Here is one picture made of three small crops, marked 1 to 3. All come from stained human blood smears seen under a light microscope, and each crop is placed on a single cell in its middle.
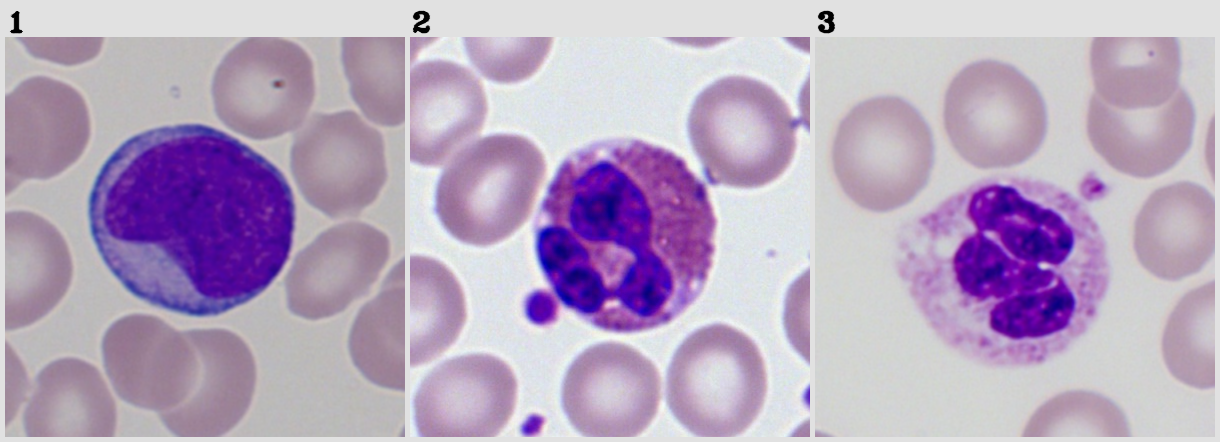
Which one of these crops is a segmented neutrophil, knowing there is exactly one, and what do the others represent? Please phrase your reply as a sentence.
Crop 3 shows a segmented neutrophil, while crop 1 is a myeloblast and crop 2 is an eosinophil.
